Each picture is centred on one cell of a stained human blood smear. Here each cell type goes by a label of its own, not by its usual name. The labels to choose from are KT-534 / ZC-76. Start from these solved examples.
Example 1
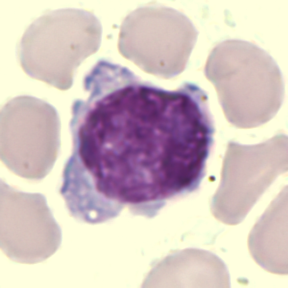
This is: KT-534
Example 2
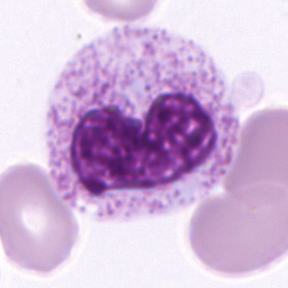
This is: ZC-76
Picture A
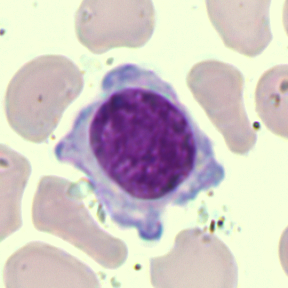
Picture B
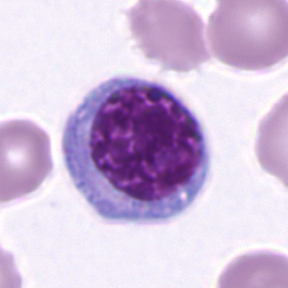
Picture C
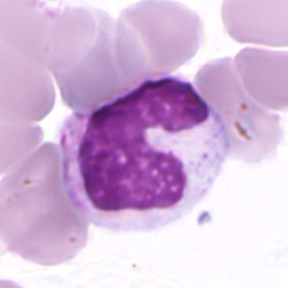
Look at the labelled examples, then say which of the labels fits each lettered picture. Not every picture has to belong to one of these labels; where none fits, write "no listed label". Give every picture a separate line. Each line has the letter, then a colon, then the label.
A: KT-534
B: KT-534
C: ZC-76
